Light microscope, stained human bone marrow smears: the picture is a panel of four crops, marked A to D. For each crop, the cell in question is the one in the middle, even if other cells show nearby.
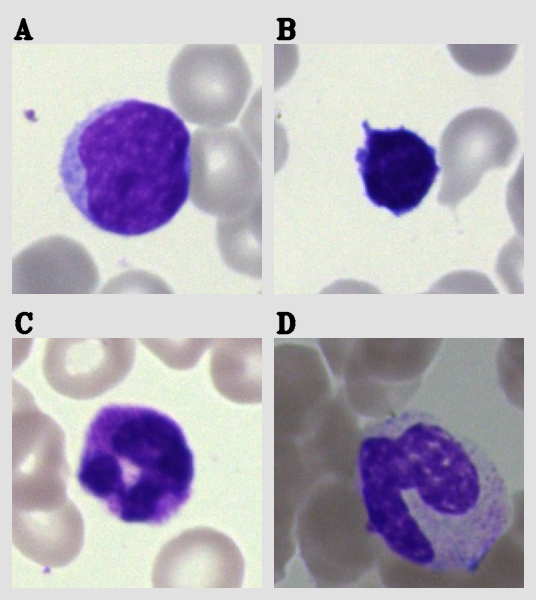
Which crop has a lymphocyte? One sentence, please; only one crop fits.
Crop B is the one depicting a lymphocyte.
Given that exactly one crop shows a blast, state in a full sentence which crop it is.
The crop with a blast at its center is crop A.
